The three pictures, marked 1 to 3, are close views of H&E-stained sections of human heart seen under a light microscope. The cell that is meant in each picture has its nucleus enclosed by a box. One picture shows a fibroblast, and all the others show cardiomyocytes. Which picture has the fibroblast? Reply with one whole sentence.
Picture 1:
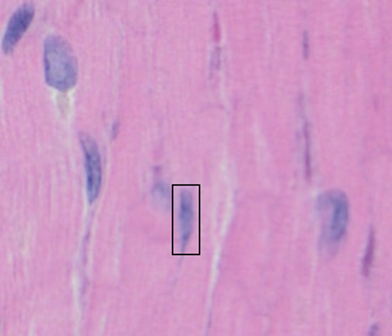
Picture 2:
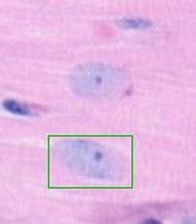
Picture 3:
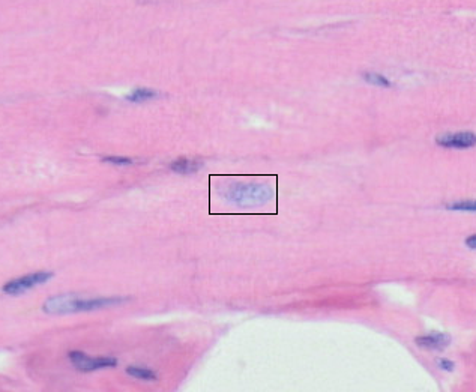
The picture with the fibroblast is 1.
